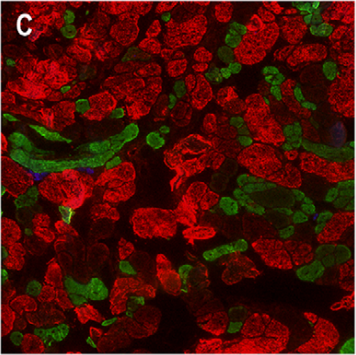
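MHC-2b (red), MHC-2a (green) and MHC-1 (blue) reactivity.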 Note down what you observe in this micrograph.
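Cross-section of skeletal muscle in which large, irregularly shaped red fibers with a mottled interior predominate. Smaller green fibers lie in groups between them, and dark spaces separate many of the fibers.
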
